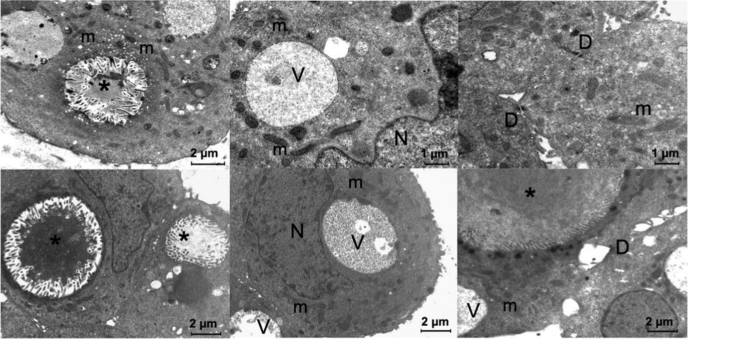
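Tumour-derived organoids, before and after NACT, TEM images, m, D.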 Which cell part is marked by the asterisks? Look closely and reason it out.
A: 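Round spaces lie inside the cytoplasm of the cells. Each space is lined by a dense fringe of fine finger-like projections. The centres of the spaces hold grey, amorphous material. On this evidence: intracellular lumens.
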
